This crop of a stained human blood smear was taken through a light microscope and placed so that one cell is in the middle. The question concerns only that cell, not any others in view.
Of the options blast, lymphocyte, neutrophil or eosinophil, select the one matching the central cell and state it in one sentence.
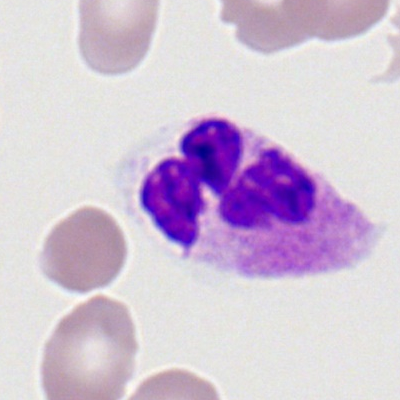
The cell found in the middle of this crop is a neutrophil.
